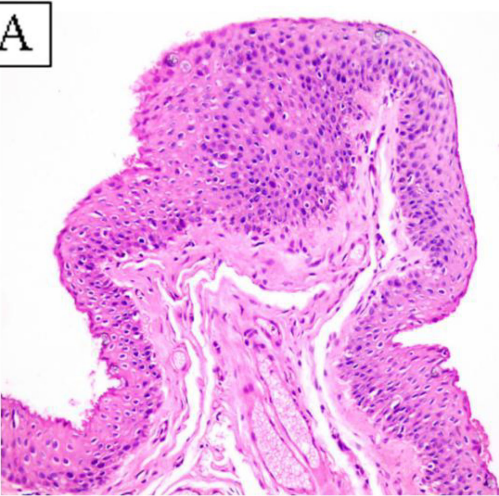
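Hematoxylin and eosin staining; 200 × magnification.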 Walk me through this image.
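This is a finger-like projection of thick stratified squamous epithelium wrapped around a narrow core of connective tissue. The epithelium consists of many layers of polygonal cells with pink cytoplasm and small, round, fairly uniform dark nuclei, arranged in an orderly way. Toward the outer surface the cells become flatter and their nuclei smaller. The central core is loose, pale pink connective tissue that carries a vessel filled with pale red blood cells. Narrow clear clefts separate parts of the core from the overlying epithelium.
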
